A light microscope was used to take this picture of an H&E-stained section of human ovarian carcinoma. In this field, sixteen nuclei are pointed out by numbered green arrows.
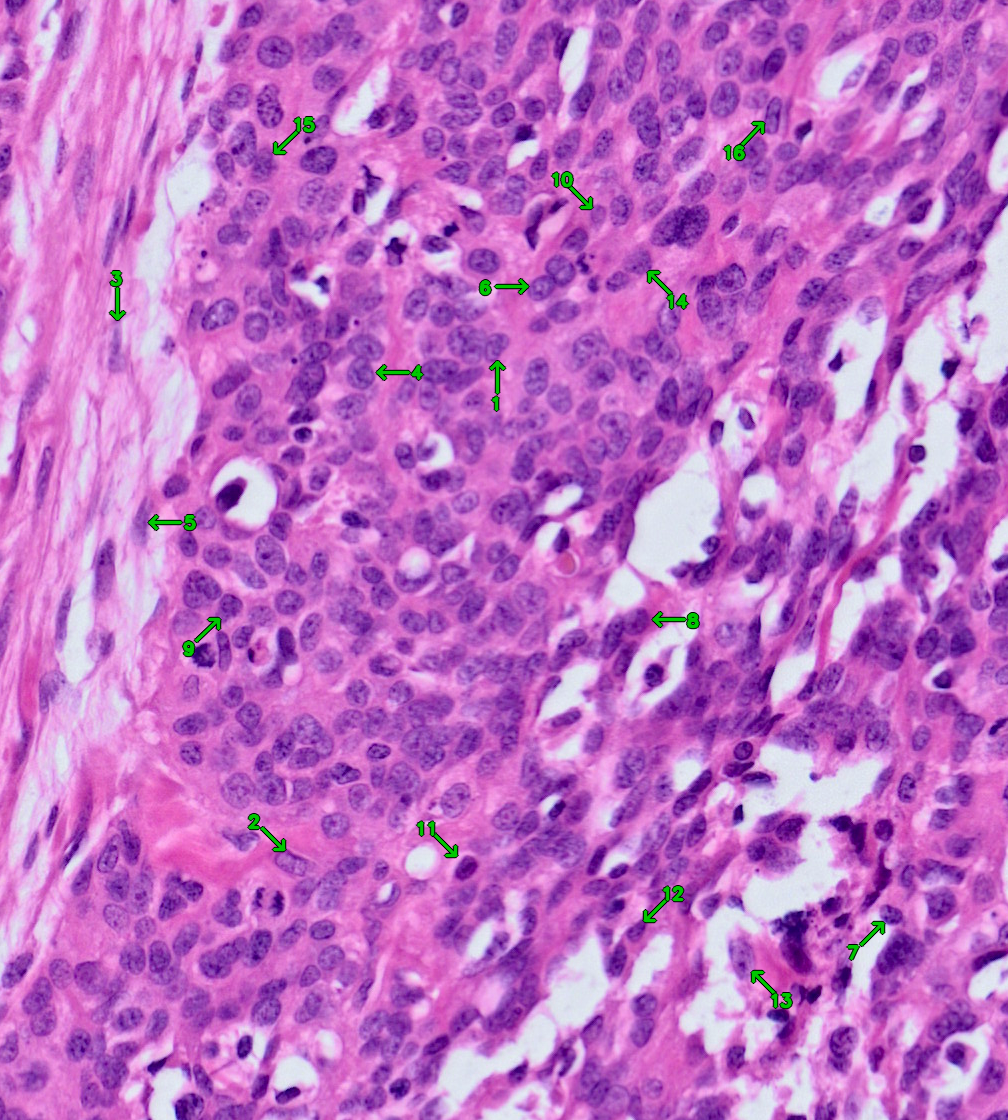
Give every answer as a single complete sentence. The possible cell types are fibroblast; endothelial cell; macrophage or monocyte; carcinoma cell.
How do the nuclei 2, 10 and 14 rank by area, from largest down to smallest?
By area, largest first, they run 2, 14, 10.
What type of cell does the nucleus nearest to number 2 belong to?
Number 2 lies closest to the nucleus of a carcinoma cell.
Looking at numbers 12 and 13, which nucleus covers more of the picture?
At about 3 times the area of nucleus 12, nucleus 13 is the larger of the two.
